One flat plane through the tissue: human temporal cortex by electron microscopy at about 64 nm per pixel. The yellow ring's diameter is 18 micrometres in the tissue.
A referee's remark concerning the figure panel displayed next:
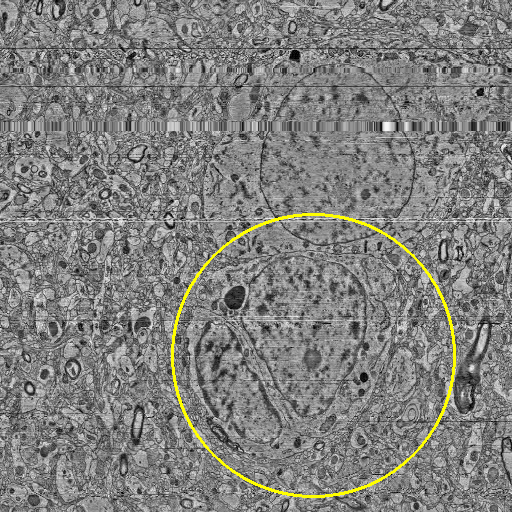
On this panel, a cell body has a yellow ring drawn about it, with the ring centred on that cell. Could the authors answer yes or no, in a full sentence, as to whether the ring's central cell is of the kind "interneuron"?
Yes, the cell sitting at the middle of the ring on this panel belongs to that kind.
